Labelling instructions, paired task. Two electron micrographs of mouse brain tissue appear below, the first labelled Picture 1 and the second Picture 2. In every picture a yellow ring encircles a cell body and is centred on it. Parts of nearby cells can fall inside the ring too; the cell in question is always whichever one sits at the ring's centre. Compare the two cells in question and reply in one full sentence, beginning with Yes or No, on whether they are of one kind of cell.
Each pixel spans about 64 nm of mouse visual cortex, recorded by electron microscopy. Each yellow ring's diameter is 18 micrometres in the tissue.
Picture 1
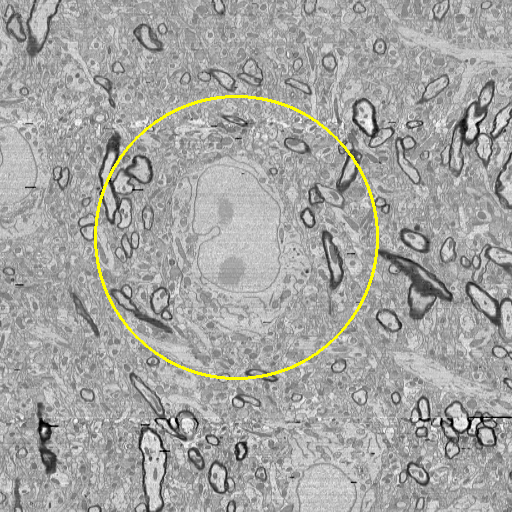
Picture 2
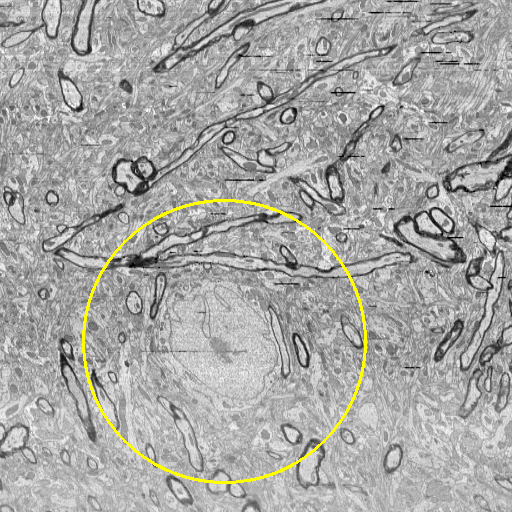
No, the two cells at the ring centres in Picture 1 and Picture 2 are of two kinds.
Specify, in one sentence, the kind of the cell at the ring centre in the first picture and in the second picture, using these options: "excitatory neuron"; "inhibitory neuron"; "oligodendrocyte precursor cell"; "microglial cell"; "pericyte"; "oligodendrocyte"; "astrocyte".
So the first is an excitatory neuron, the second an inhibitory neuron.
